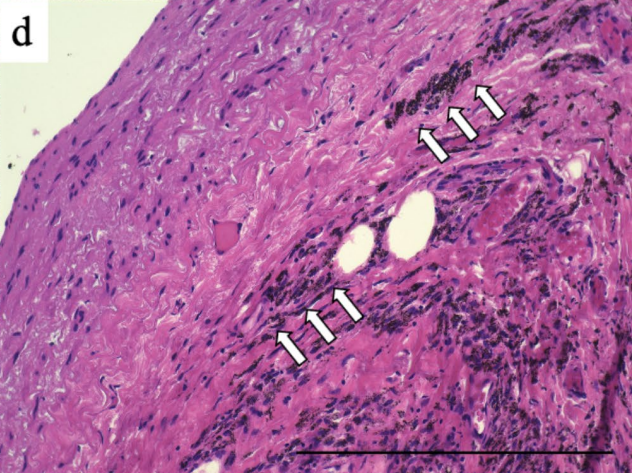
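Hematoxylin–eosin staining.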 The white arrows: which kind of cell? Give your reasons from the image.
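Dust-laden macrophages. The arrowed cells hold coarse black pigment granules. They lie in a band within pink fibrous tissue.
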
